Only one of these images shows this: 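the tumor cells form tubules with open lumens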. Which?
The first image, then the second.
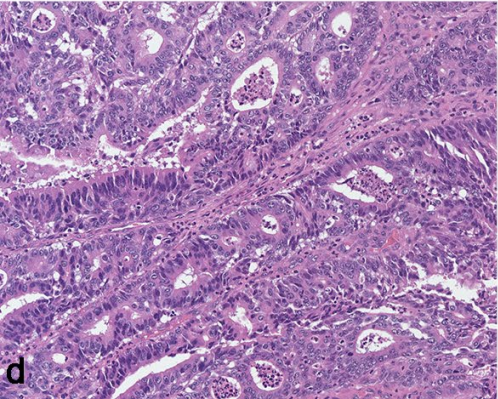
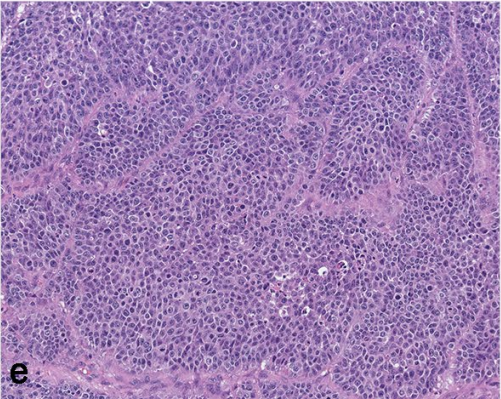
The first image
